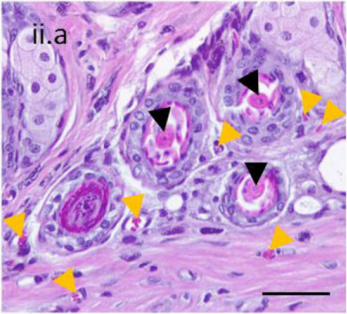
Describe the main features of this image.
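Several round epithelial profiles are cut across, each built of concentric layers of cells with purple nuclei around a central, bright pink, compacted core. Between and around these structures run small vessels, some of which contain small red blood cells. At the upper left lie larger, pale cells with foamy cytoplasm, and the whole group is embedded in pink fibrous connective tissue.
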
